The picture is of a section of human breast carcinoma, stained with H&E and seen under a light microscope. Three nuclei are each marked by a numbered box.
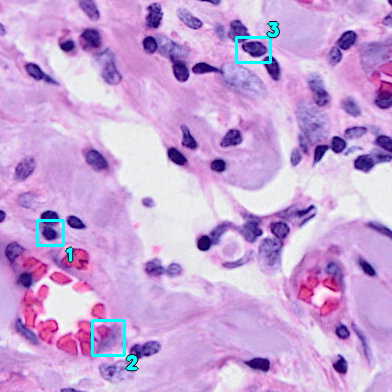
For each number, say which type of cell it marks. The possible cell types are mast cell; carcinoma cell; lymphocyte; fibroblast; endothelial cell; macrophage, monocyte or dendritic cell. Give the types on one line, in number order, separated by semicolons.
lymphocyte; endothelial cell; lymphocyte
